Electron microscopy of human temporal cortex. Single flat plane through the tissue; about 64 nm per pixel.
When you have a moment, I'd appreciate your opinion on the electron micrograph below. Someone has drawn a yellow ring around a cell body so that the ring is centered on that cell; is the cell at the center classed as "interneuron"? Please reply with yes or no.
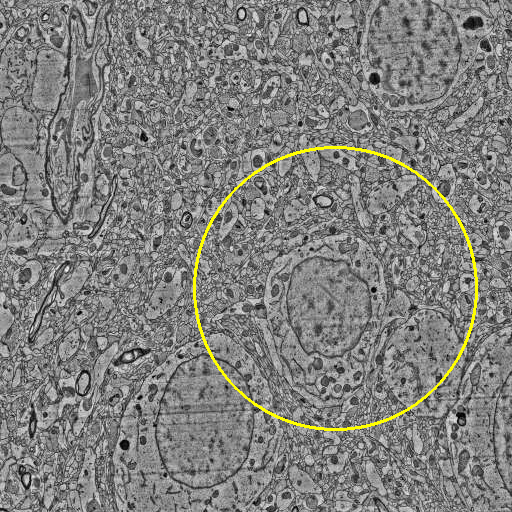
Yes, that cell is of the named kind.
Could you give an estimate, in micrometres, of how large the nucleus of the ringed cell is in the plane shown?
Roughly 6 micrometers across in this plane.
